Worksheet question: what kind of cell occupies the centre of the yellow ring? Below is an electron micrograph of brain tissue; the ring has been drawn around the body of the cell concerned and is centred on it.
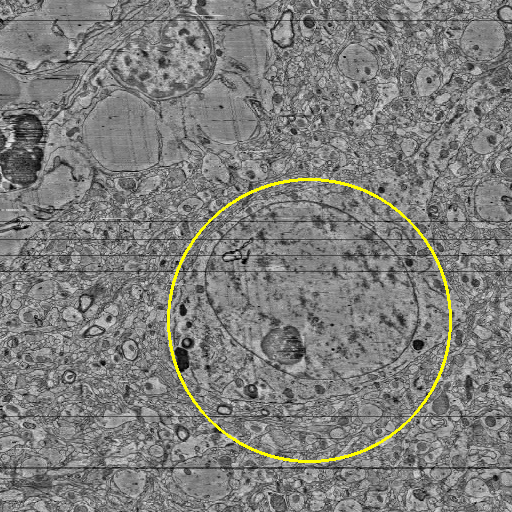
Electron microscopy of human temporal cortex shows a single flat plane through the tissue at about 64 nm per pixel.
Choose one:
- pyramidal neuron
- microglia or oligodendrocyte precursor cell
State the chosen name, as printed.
pyramidal neuron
